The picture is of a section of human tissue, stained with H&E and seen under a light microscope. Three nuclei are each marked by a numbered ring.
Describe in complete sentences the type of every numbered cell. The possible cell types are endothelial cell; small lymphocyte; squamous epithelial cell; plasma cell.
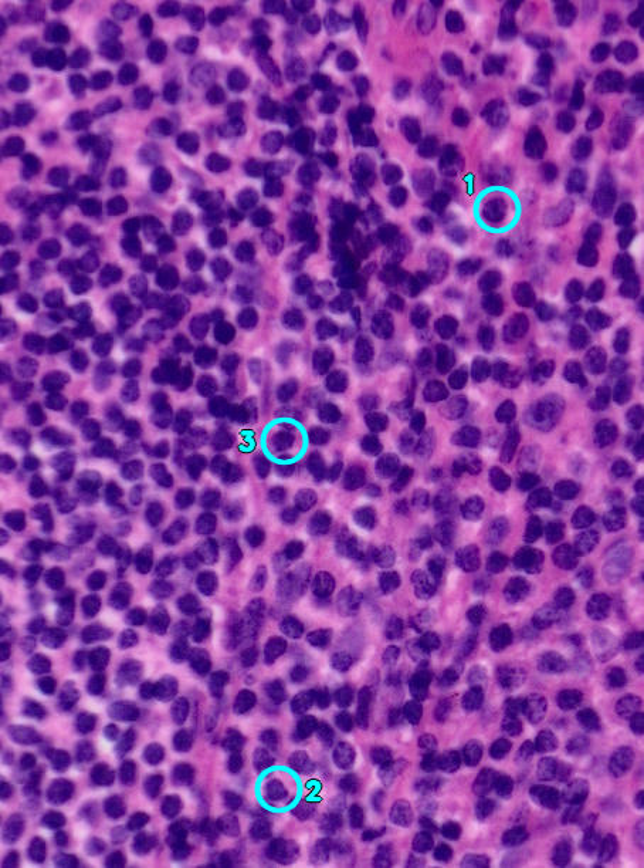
Cell 1 is a plasma cell. Cells 2 and 3 are small lymphocytes.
